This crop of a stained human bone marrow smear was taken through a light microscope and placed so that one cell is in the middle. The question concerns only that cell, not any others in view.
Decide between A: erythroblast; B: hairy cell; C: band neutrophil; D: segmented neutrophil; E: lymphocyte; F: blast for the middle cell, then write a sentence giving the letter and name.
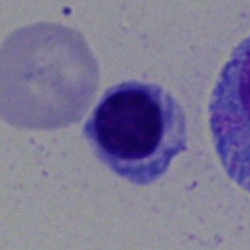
At the centre of the crop lies an erythroblast, which makes option A correct.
